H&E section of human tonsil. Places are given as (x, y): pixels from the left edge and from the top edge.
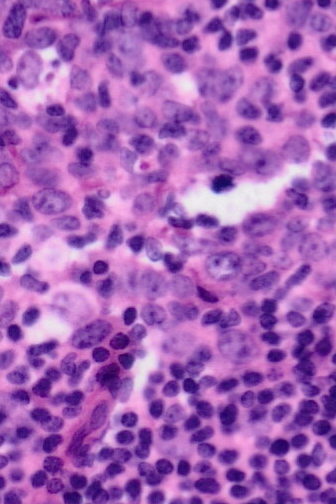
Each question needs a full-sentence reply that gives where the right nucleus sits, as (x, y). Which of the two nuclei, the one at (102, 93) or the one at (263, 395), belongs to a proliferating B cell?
Located at (102, 93), this nucleus is the one belonging to a proliferating B cell.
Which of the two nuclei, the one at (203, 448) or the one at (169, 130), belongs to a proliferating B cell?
The nucleus at (169, 130) is part of a proliferating B cell, while the other is not.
